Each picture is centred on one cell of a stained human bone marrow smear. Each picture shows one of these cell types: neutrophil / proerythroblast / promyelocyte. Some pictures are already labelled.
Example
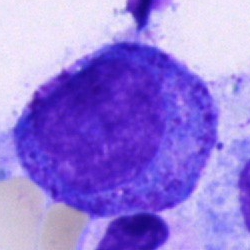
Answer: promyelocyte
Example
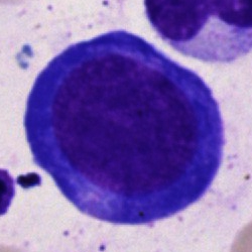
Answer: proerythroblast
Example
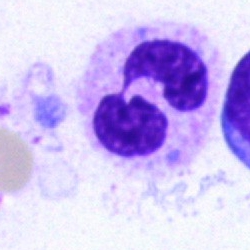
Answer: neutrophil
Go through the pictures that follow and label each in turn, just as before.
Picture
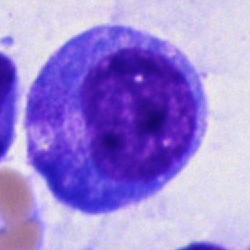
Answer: promyelocyte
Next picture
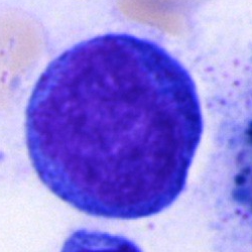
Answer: proerythroblast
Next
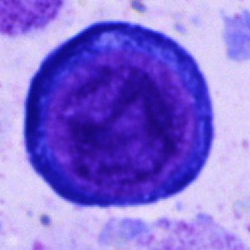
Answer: proerythroblast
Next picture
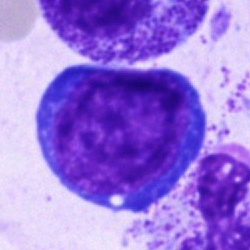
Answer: proerythroblast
